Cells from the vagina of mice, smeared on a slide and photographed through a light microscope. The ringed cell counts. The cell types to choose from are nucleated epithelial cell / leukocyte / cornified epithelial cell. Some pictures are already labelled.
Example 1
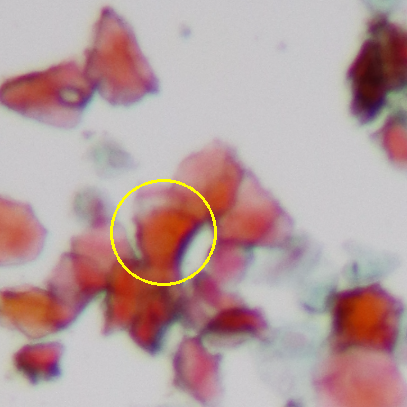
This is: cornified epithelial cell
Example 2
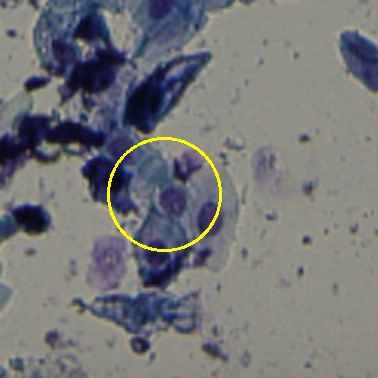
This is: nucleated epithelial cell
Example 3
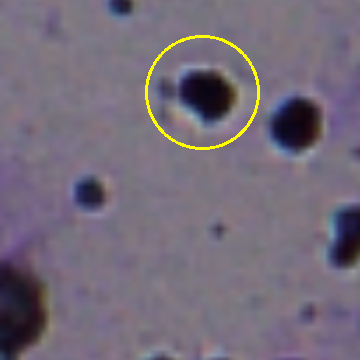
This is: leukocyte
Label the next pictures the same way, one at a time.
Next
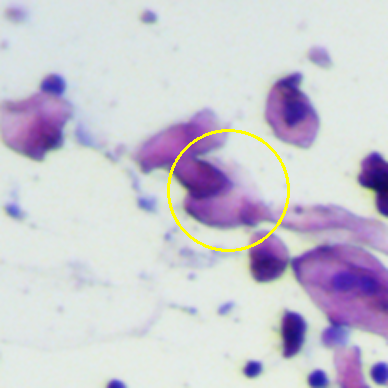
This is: cornified epithelial cell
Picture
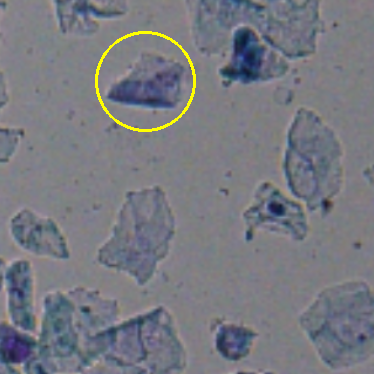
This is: cornified epithelial cell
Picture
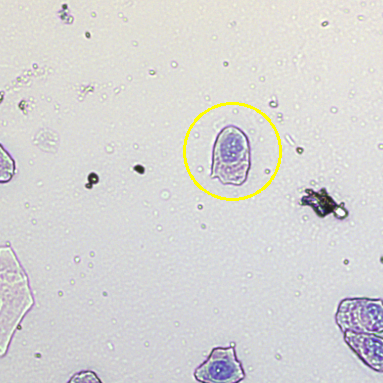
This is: nucleated epithelial cell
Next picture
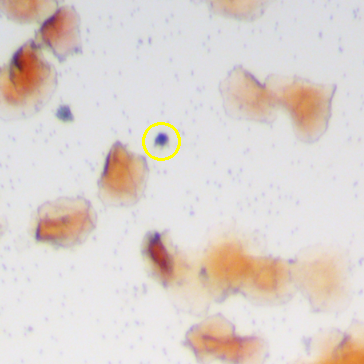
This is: leukocyte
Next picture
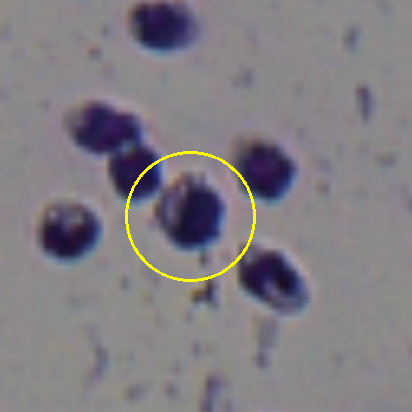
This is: leukocyte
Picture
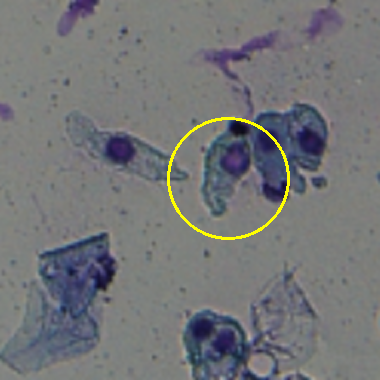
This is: nucleated epithelial cell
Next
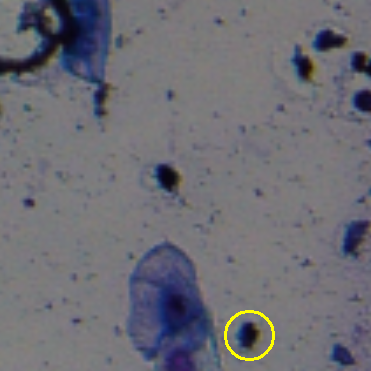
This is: leukocyte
